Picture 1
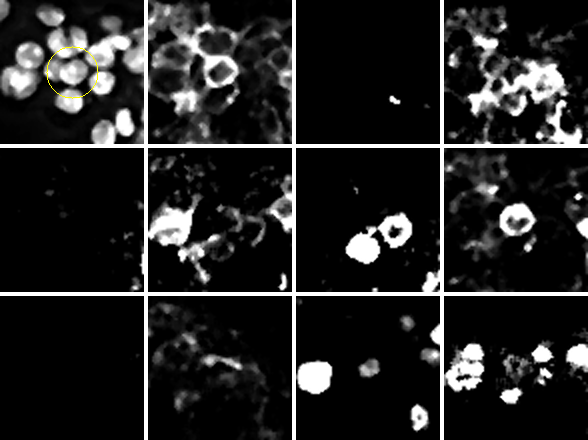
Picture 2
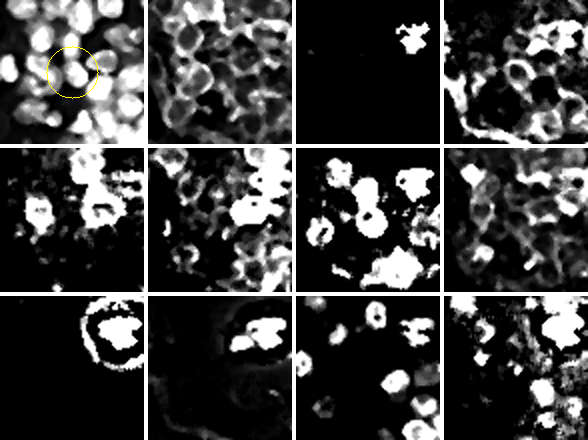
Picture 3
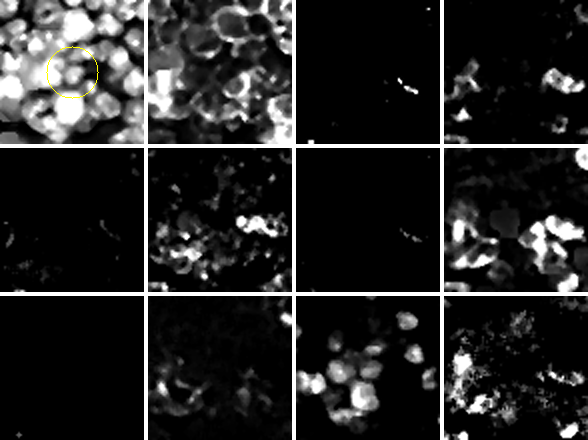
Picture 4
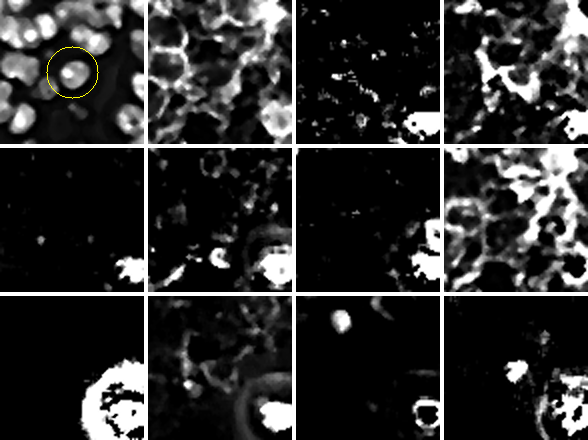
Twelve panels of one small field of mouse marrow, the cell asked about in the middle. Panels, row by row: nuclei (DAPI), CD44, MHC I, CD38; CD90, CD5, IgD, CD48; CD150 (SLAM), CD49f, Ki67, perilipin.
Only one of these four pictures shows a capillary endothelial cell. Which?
Picture 4.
